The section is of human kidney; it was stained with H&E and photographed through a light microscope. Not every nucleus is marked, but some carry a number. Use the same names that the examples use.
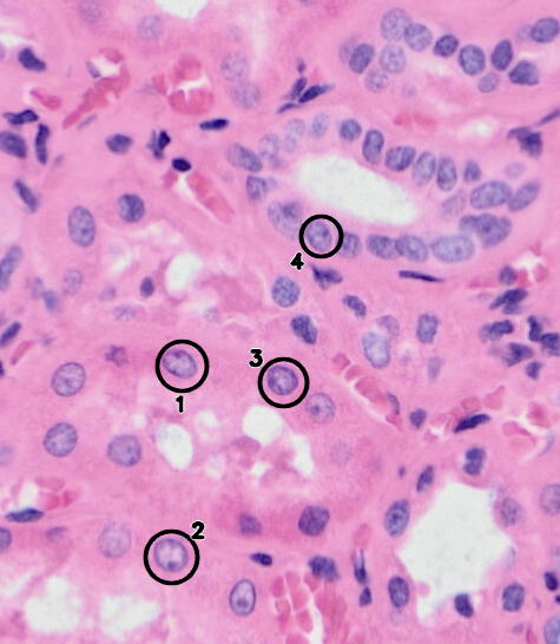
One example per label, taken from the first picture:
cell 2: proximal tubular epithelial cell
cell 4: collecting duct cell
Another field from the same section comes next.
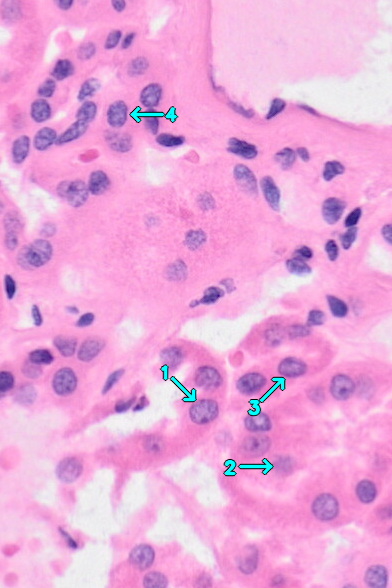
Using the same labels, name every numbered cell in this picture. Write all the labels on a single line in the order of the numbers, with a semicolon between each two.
proximal tubular epithelial cell; proximal tubular epithelial cell; proximal tubular epithelial cell; collecting duct cell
